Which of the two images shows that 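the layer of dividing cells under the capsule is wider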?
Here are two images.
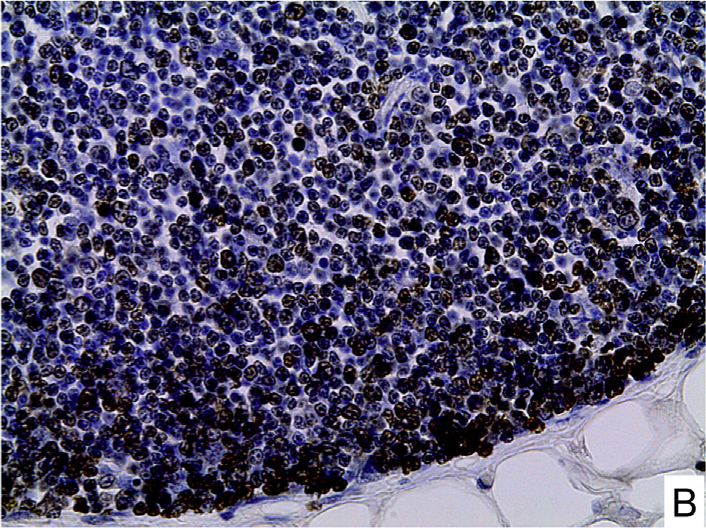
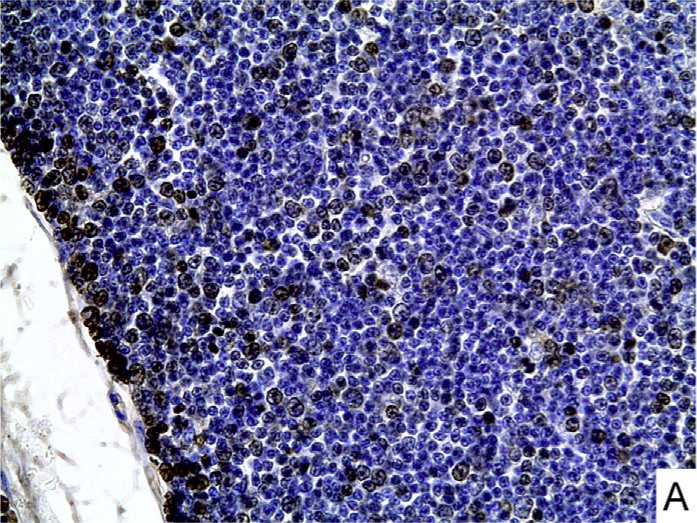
the first image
